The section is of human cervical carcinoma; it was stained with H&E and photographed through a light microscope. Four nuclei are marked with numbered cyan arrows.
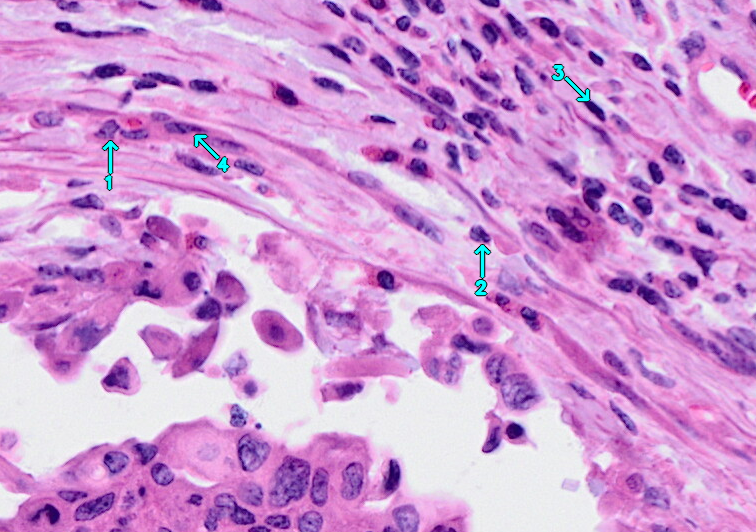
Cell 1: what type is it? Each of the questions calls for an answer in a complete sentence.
Here the cell numbered 1 is an endothelial cell.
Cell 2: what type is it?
The nucleus with number 2 is that of a lymphocyte.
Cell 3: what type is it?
Number 3 among the marked cells is a lymphocyte.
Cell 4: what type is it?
That cell with number 4 is an endothelial cell.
